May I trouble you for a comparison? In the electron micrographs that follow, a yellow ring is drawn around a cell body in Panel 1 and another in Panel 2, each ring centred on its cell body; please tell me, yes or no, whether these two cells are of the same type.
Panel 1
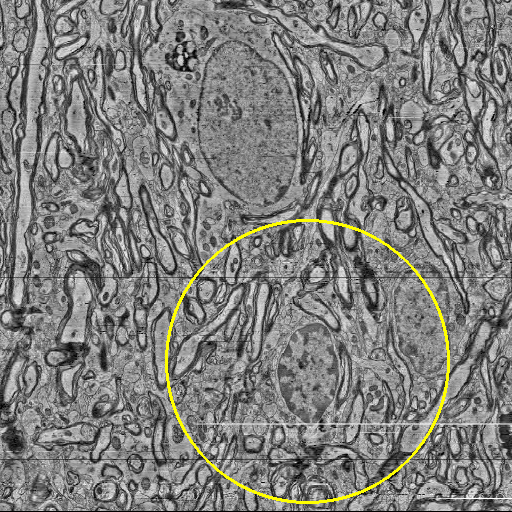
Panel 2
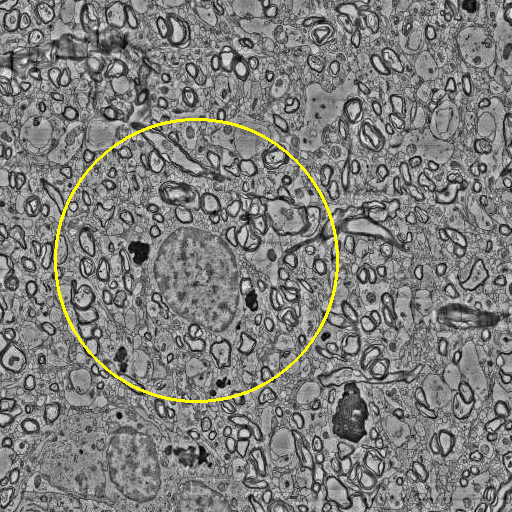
no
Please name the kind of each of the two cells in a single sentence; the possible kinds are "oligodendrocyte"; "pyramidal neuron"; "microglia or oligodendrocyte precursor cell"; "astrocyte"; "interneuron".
In the first picture the ring is centred on a microglial cell or oligodendrocyte precursor cell, and in the second on an oligodendrocyte.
